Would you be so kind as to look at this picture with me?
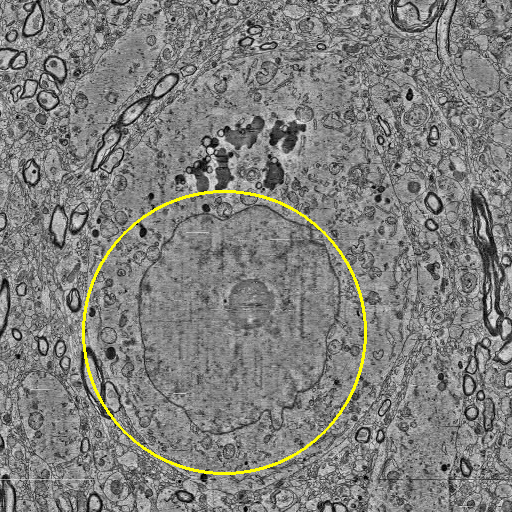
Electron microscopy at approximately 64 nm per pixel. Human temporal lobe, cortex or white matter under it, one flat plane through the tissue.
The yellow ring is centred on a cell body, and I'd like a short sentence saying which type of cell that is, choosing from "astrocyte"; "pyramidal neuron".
The cell body in the ring belongs to a pyramidal neuron.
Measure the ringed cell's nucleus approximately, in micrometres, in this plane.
In this plane the nucleus spans approximately 15 by 13 micrometers.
